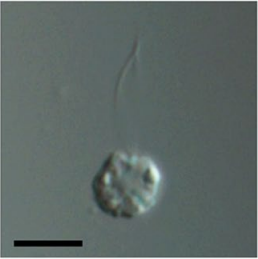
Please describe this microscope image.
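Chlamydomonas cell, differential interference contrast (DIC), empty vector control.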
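The cell body is roughly spherical with a granular, textured interior. From the upper side of the cell a long, very thin cilium extends upward and curves gently. No other cells lie nearby.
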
